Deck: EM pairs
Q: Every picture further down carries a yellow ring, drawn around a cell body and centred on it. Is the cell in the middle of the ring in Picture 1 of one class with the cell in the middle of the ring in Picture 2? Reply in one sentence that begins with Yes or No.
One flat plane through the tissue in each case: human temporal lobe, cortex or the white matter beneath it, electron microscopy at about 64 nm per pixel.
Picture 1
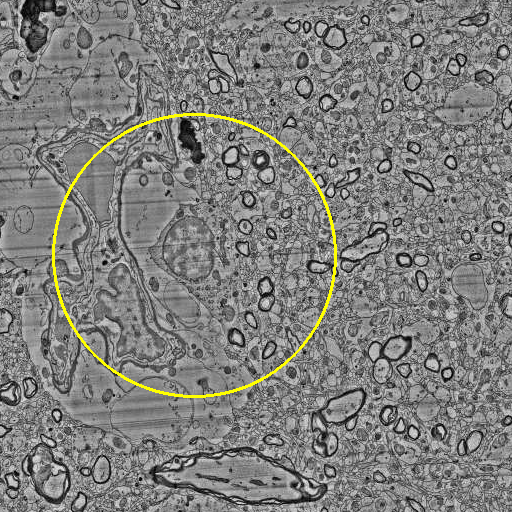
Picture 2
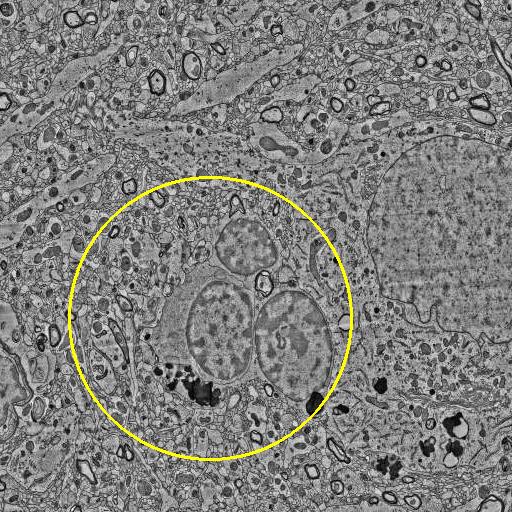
Yes, the cell centred in the ring of Picture 1 and the one in Picture 2 belong to one class.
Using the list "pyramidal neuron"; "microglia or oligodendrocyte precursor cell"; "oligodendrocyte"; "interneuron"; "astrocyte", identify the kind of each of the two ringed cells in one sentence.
Each of the two rings surrounds an oligodendrocyte.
